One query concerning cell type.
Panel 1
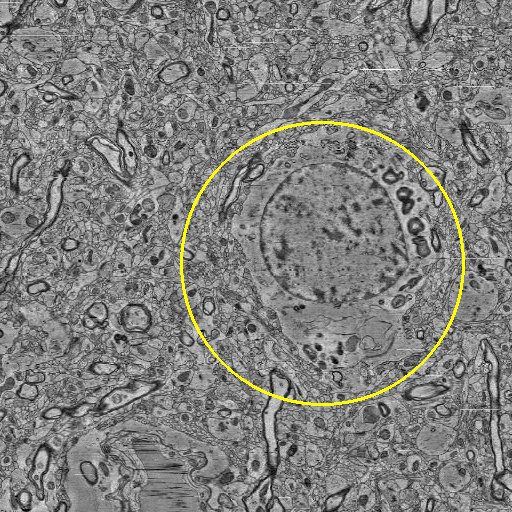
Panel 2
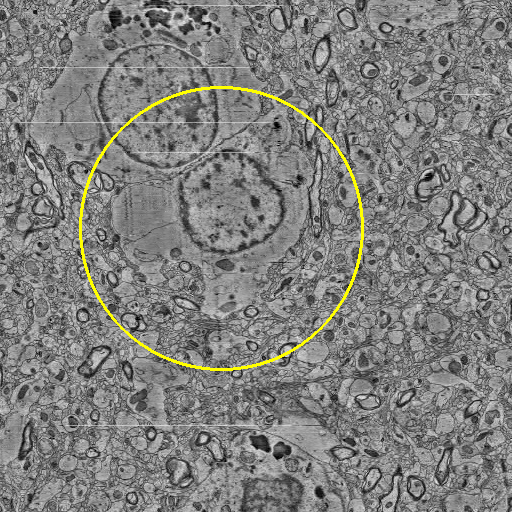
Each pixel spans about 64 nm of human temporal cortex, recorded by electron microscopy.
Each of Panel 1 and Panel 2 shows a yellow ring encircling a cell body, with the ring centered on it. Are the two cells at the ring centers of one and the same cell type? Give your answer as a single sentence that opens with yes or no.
Yes, the cell centered in Panel 1 and the one in Panel 2 share a type.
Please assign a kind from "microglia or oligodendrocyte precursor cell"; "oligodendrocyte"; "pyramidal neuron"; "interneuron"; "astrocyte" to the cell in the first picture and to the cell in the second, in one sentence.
Each of the ringed cells, first and second, is an astrocyte.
